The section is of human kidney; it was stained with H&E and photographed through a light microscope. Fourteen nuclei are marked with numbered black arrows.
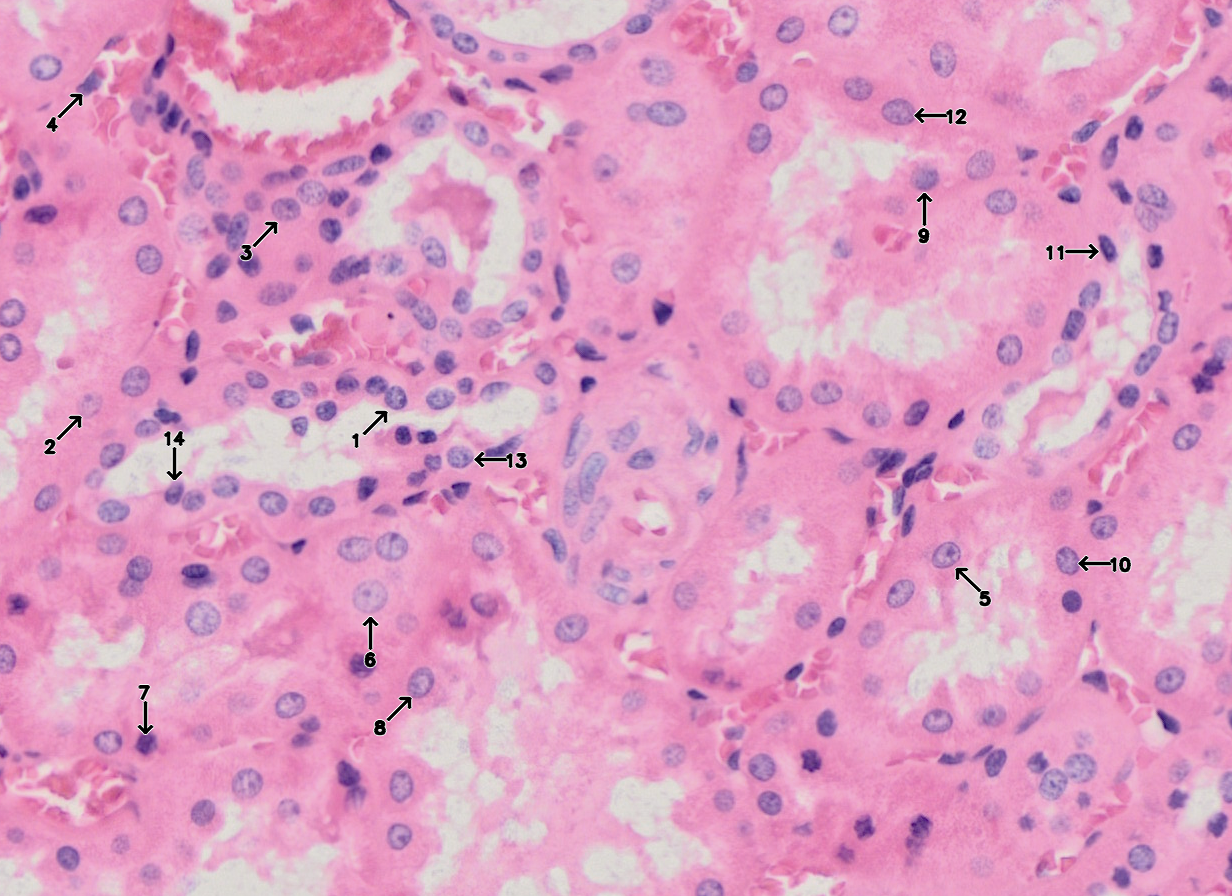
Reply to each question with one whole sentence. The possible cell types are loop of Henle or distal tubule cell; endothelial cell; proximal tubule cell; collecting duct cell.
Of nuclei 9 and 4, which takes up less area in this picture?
Nucleus 4 covers less area, with nucleus 9 about 2 times as large.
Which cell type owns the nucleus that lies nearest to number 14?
Number 14 lies closest to the nucleus of a collecting duct cell.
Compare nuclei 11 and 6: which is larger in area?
Nucleus 6 is larger, with an area about 2 times that of nucleus 11.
